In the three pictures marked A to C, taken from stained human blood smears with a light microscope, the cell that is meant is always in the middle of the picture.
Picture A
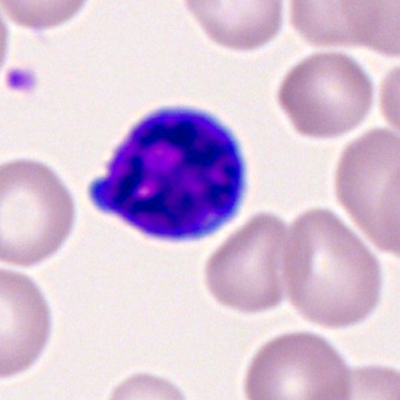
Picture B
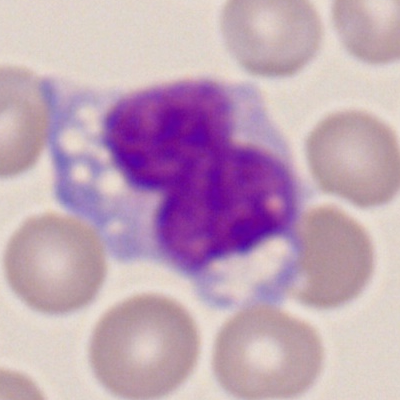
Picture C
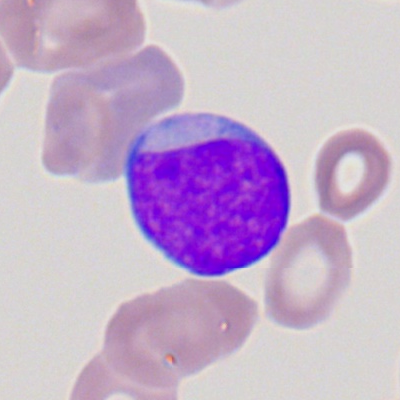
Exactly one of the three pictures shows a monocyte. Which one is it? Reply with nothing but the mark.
B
